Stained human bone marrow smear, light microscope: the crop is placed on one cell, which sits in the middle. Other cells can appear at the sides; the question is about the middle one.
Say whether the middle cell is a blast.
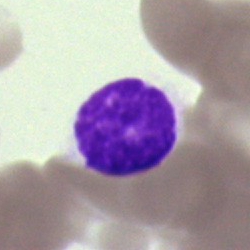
no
